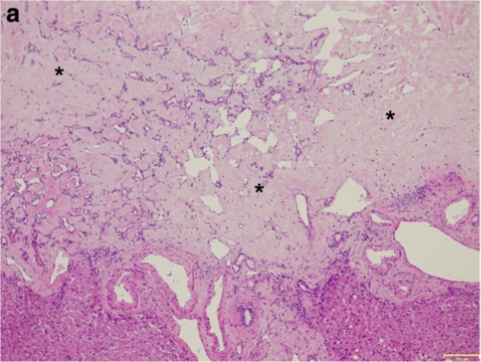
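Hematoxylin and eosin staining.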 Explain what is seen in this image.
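This section shows a pale, hyalinized mass lying above the surrounding liver tissue. The upper part consists of pale pink, glassy material with very few nuclei, scattered through with small slit-like and irregular empty channels. Toward the lower edge of the mass there are larger open spaces, several of them surrounded by thickened pink walls. At the bottom, darker pink, more cellular liver tissue forms a clear border with the mass.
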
